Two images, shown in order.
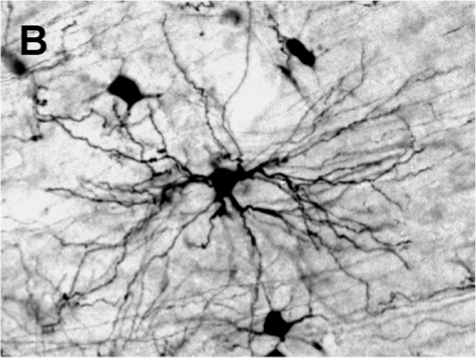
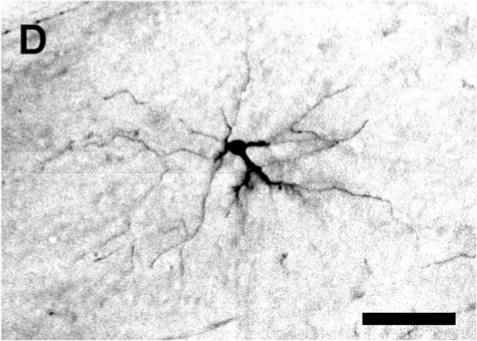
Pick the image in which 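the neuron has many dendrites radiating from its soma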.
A: the first image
